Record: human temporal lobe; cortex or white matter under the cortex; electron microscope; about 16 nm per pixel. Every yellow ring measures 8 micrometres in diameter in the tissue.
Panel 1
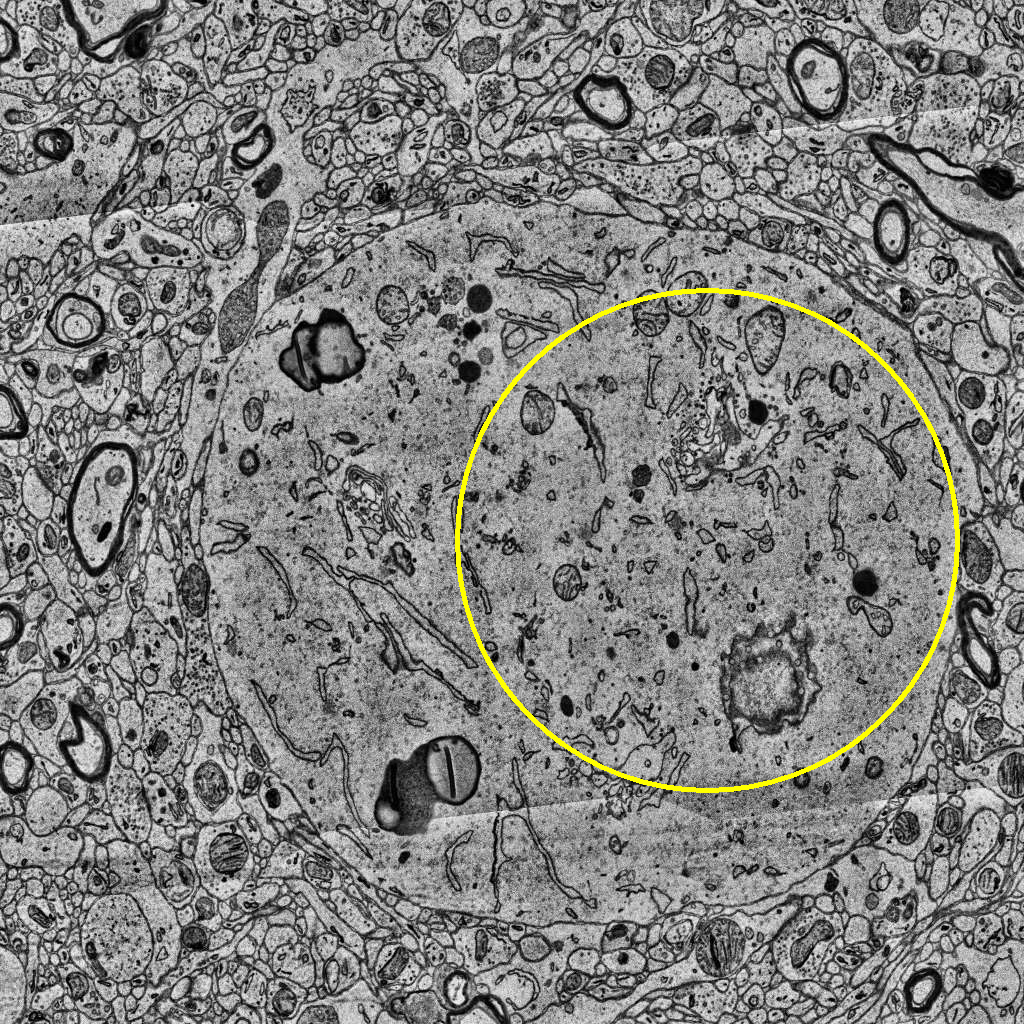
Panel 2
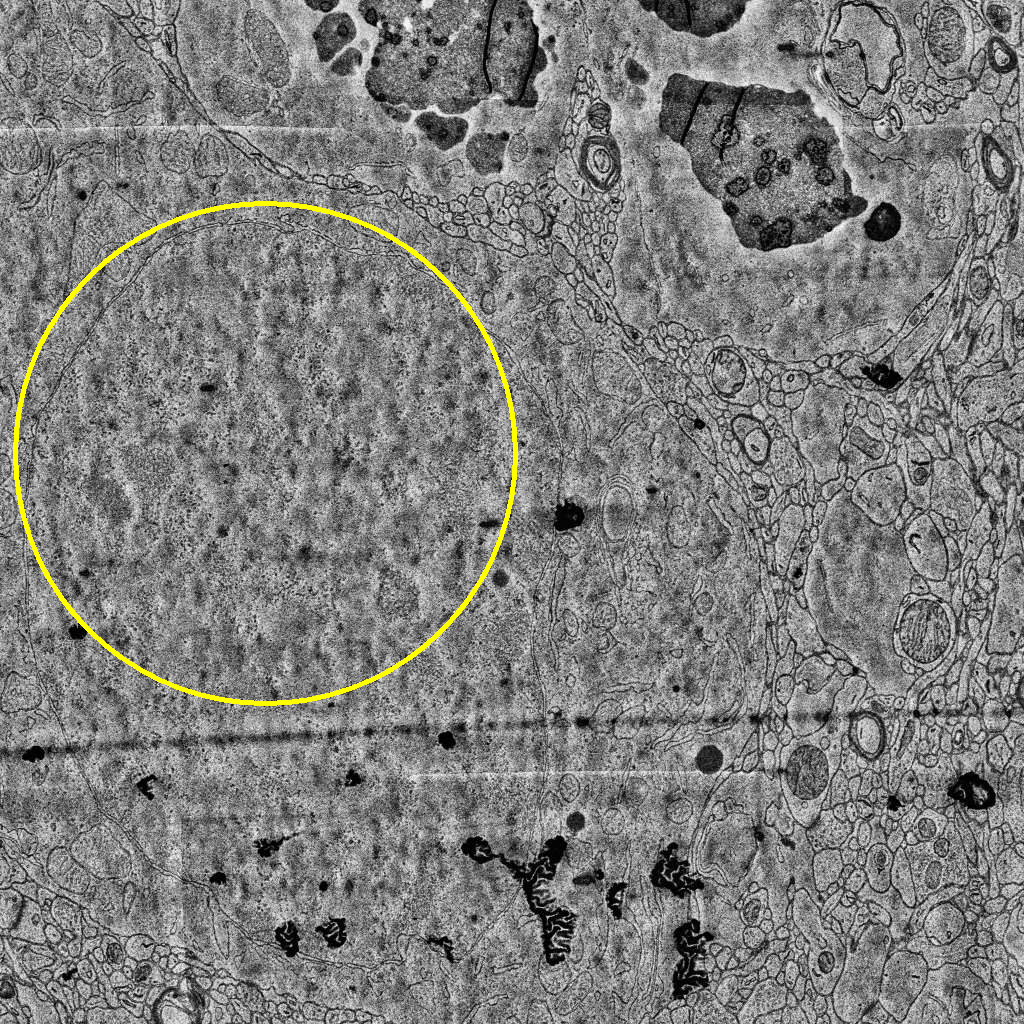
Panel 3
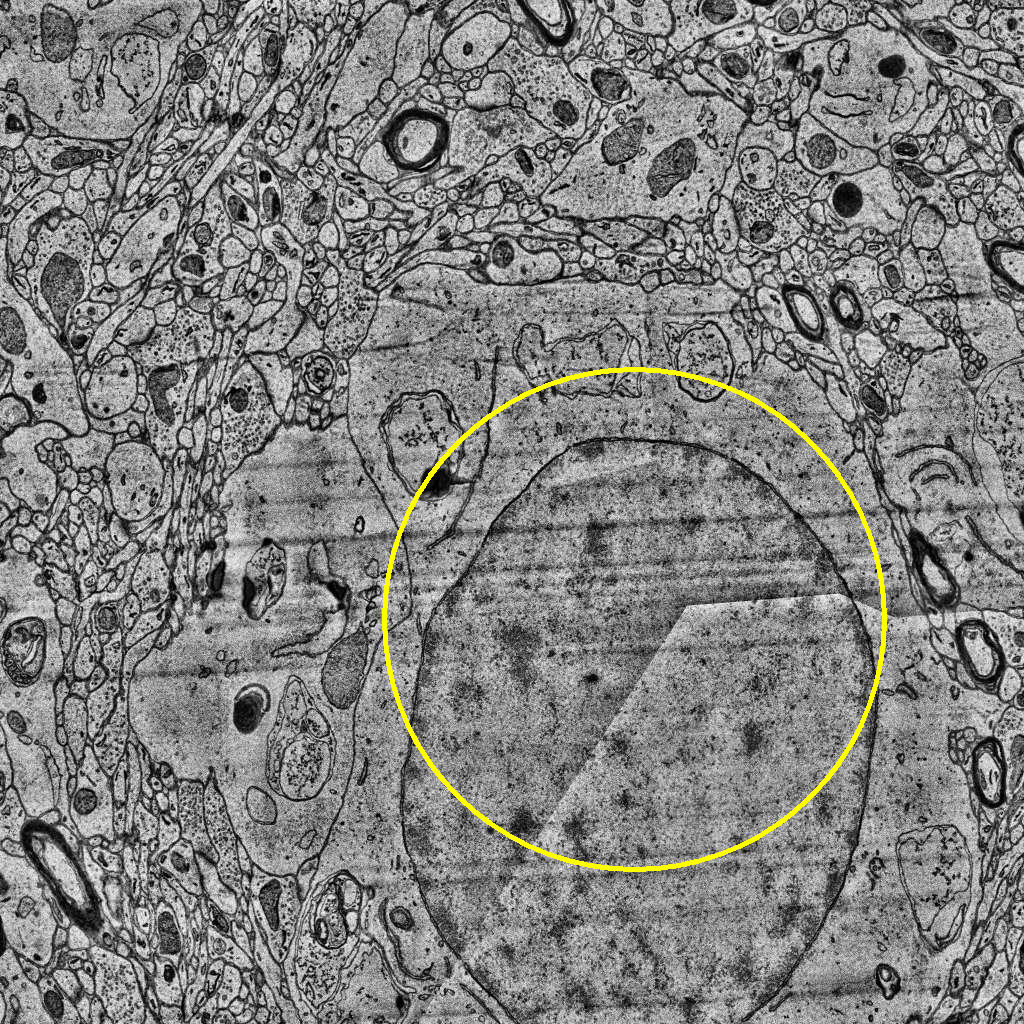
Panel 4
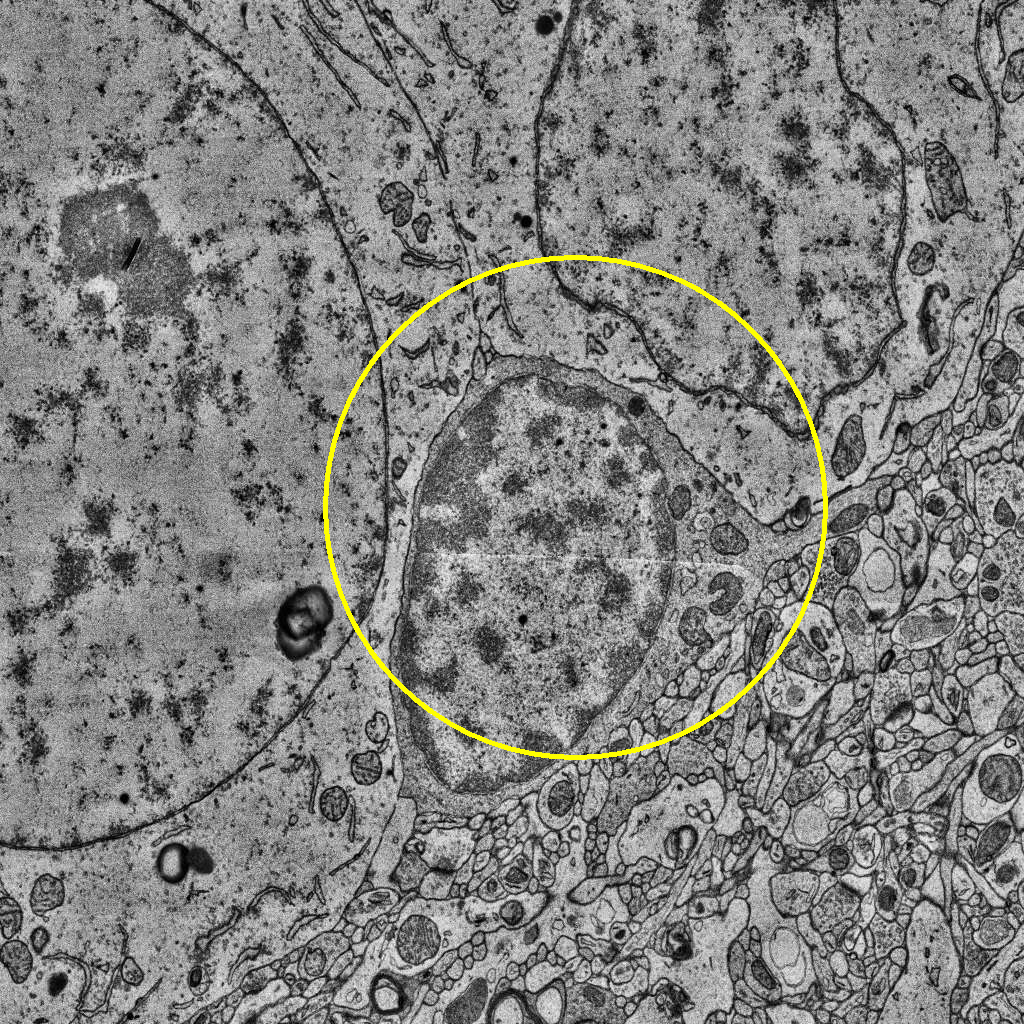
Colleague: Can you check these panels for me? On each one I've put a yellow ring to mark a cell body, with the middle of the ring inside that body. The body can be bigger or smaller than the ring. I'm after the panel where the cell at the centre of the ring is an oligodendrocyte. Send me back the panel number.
4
